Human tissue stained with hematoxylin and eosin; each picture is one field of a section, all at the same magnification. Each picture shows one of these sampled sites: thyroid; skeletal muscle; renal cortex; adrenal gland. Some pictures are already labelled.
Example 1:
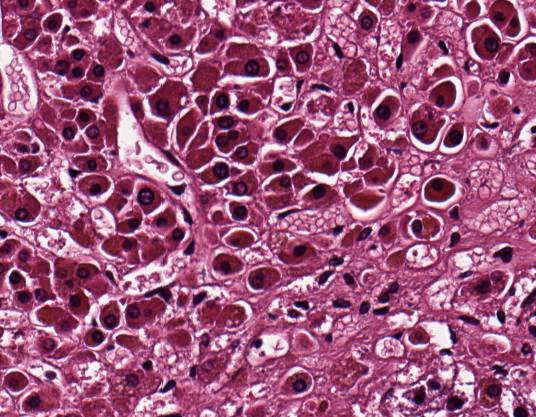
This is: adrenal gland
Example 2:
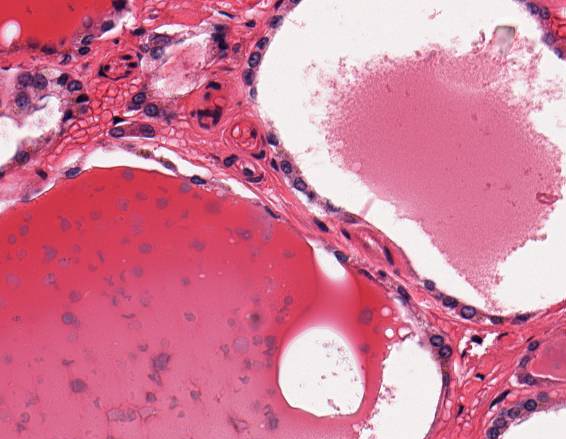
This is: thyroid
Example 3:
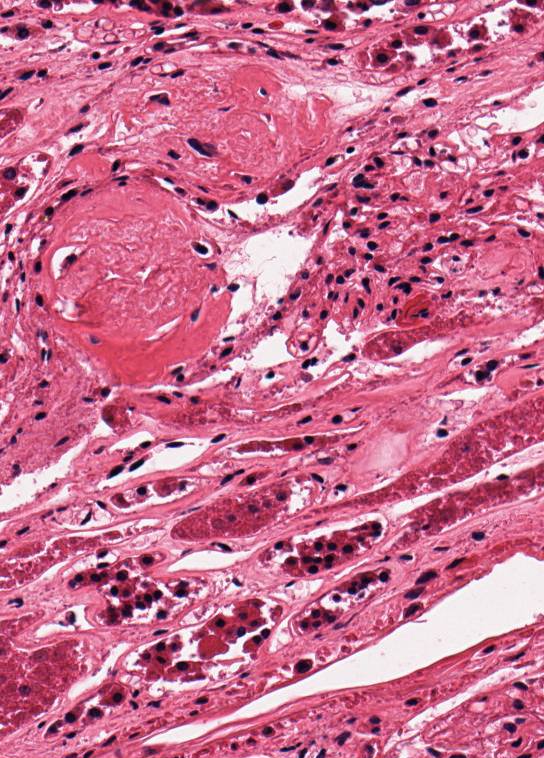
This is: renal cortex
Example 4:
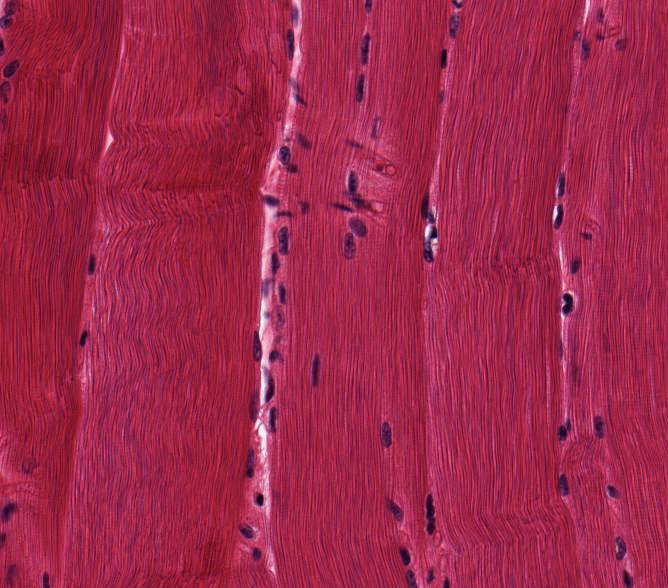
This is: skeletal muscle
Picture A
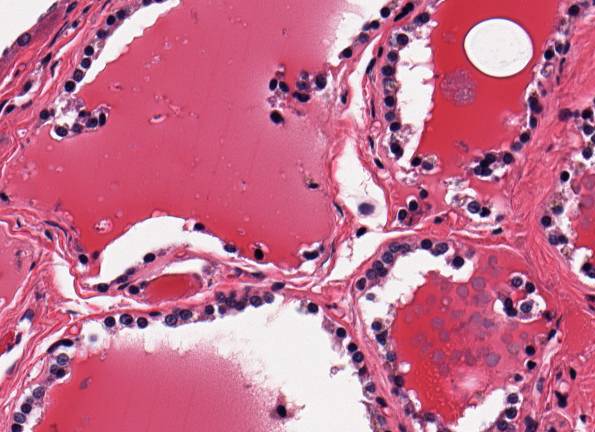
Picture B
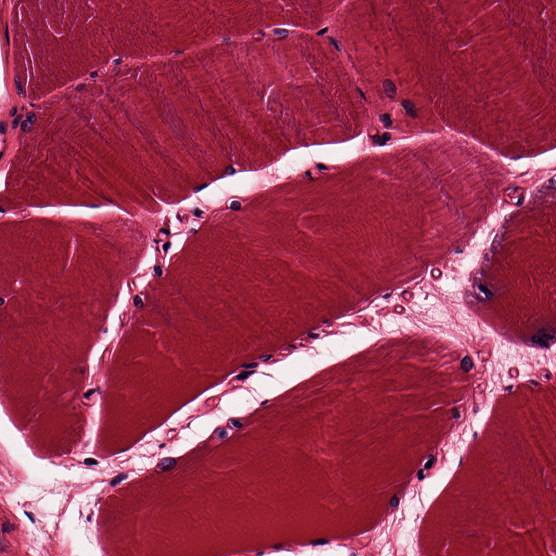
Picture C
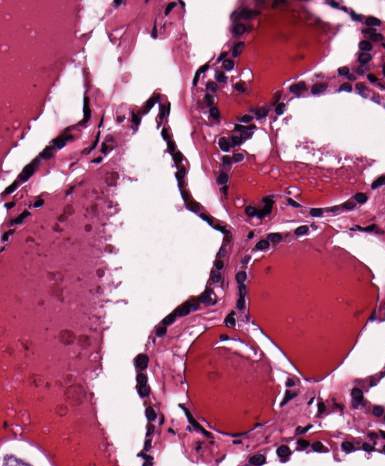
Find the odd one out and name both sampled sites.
Different: B, skeletal muscle. Others: thyroid.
